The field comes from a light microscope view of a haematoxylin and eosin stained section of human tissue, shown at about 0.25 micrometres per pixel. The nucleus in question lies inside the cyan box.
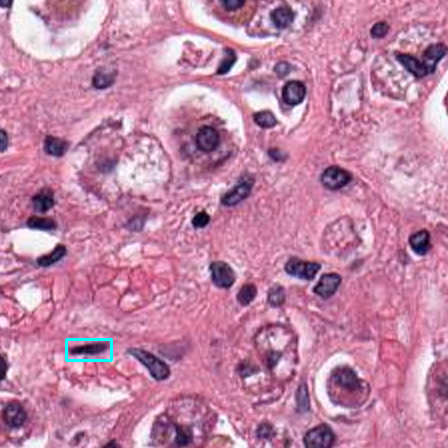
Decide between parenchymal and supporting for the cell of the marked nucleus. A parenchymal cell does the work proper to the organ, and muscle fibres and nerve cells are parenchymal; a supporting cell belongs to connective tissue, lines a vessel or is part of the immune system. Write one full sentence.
Located within a supporting cell is the nucleus that has been marked.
